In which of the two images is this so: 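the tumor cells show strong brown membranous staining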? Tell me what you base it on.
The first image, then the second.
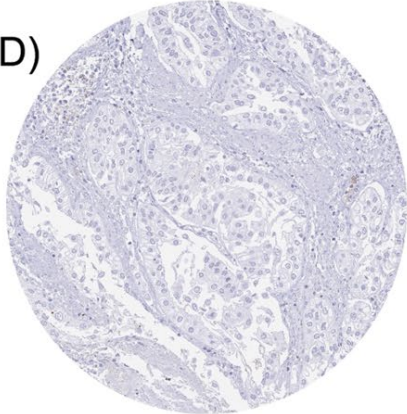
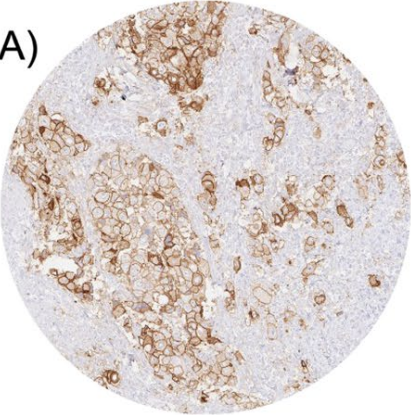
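Second image: many tumor cells in the nests have brown-outlined membranes. On this evidence: the second image.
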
